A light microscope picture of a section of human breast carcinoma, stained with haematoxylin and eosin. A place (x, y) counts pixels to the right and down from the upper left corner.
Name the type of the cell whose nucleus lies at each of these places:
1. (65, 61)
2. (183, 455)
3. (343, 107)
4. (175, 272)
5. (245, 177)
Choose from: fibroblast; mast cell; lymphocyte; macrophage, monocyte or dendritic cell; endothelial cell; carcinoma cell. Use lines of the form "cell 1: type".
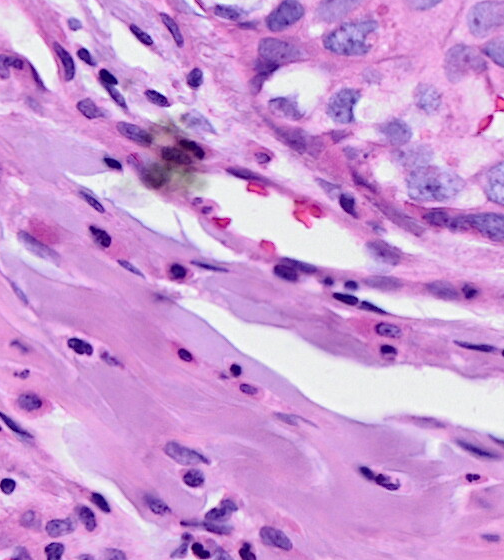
cell 1: endothelial cell
cell 2: fibroblast
cell 3: carcinoma cell
cell 4: mast cell
cell 5: endothelial cell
